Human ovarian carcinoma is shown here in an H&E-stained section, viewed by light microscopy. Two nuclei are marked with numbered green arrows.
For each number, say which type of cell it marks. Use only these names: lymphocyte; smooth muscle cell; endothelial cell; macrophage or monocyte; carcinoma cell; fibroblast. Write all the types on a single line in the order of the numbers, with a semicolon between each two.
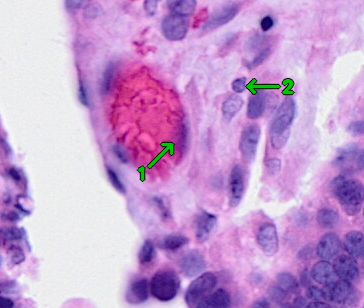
endothelial cell; lymphocyte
